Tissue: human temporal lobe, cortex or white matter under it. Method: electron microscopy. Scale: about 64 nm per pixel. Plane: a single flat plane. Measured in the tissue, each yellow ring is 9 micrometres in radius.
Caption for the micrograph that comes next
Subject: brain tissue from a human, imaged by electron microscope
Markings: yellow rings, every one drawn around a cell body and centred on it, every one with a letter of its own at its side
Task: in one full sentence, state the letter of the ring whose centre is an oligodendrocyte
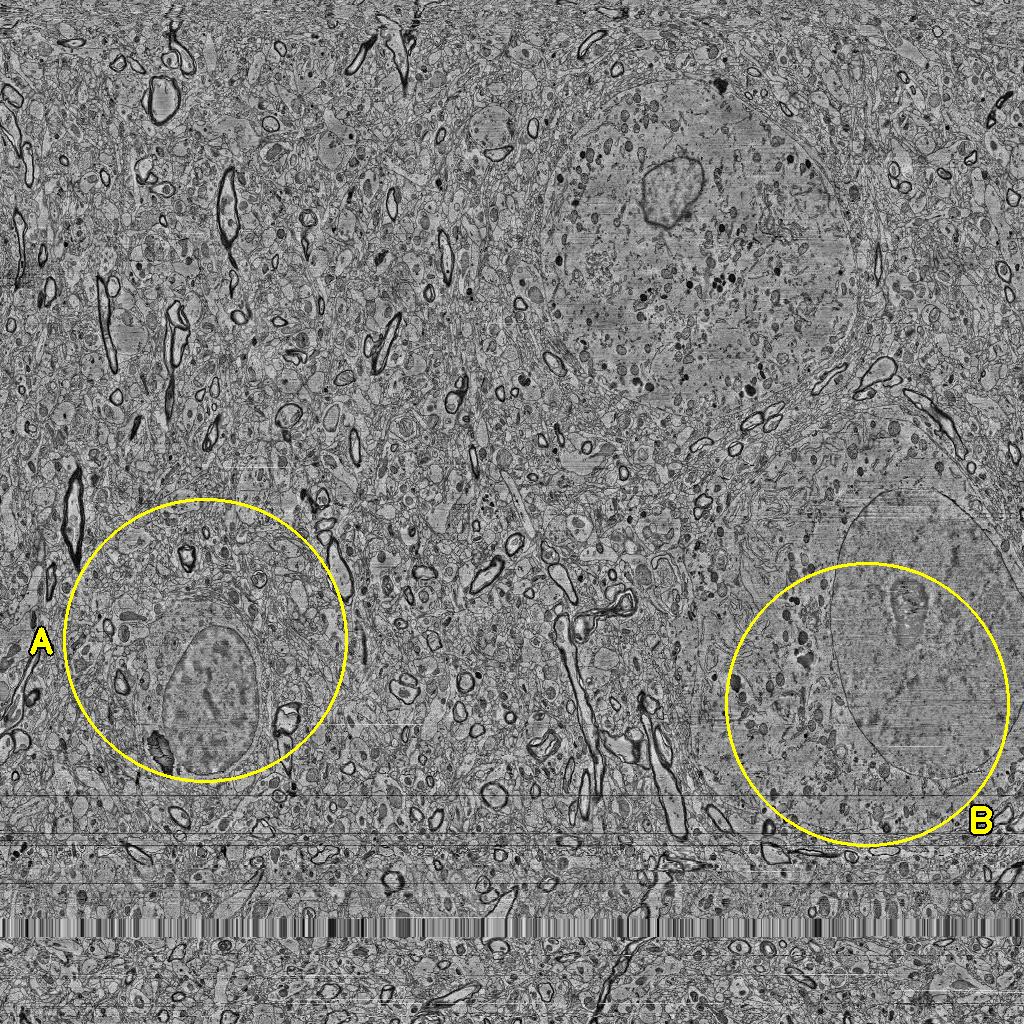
The ring centred on the cell asked for in this micrograph carries the letter A.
